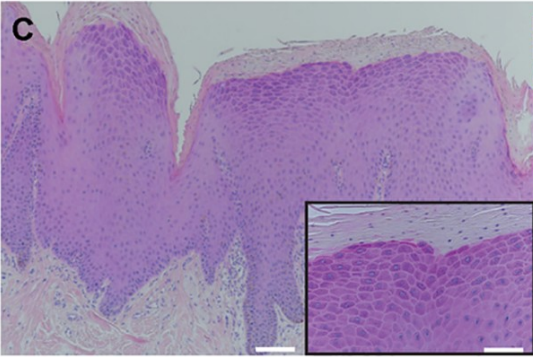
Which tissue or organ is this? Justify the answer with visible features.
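A thick stratified layer of pink polygonal cells with nuclei lies above pale fibrous connective tissue. That points to this answer: epidermis.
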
